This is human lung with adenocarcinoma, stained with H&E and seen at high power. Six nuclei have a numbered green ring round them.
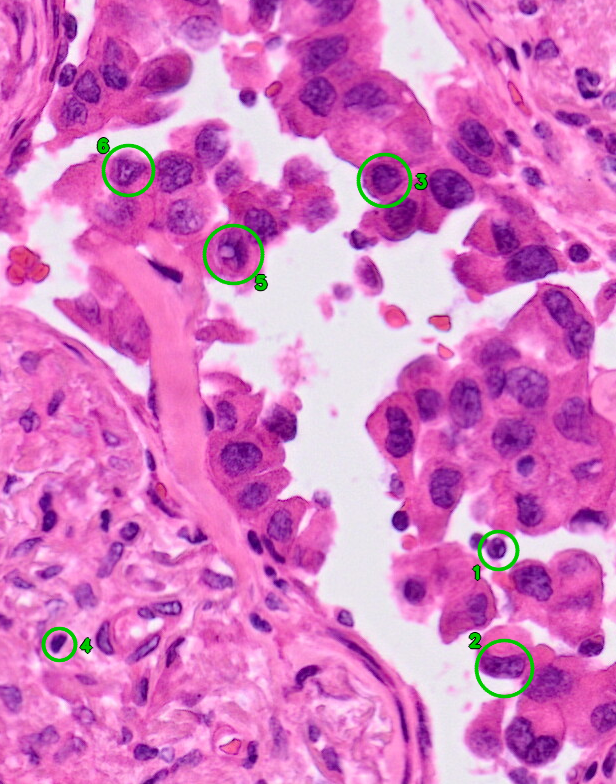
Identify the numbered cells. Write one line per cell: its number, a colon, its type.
1: lymphocyte
2: carcinoma cell
3: carcinoma cell
4: lymphocyte
5: carcinoma cell
6: carcinoma cell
